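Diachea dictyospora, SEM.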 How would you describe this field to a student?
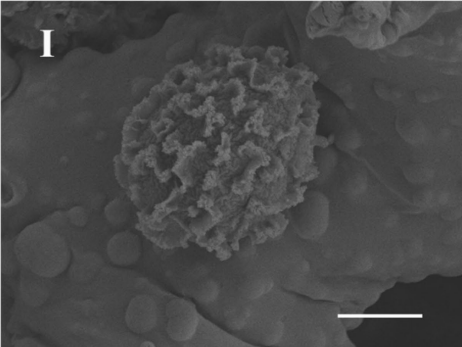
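A single round spore is seen by scanning electron microscopy, resting on a smooth surface dotted with small rounded bodies. Its whole surface is covered by irregular, wavy, raised ridges.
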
